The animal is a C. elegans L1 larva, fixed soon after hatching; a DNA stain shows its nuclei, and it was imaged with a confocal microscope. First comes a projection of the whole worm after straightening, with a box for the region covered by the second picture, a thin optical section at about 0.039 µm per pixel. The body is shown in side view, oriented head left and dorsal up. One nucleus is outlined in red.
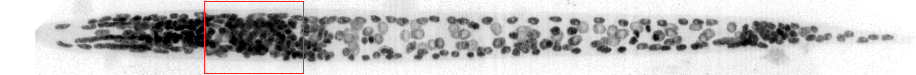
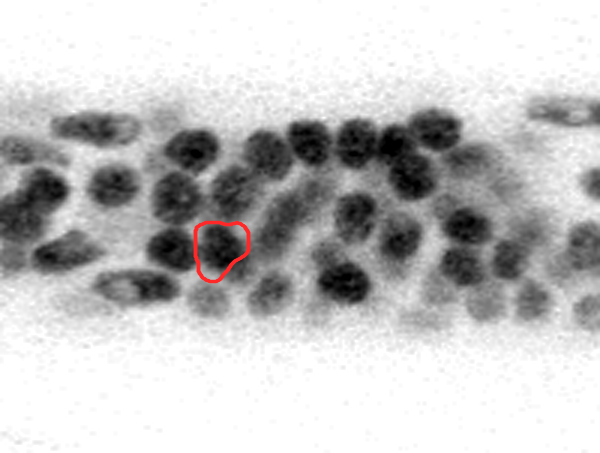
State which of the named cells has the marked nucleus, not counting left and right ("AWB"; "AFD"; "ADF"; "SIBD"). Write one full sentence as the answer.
The marked nucleus is that of SIBD, a neuron.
